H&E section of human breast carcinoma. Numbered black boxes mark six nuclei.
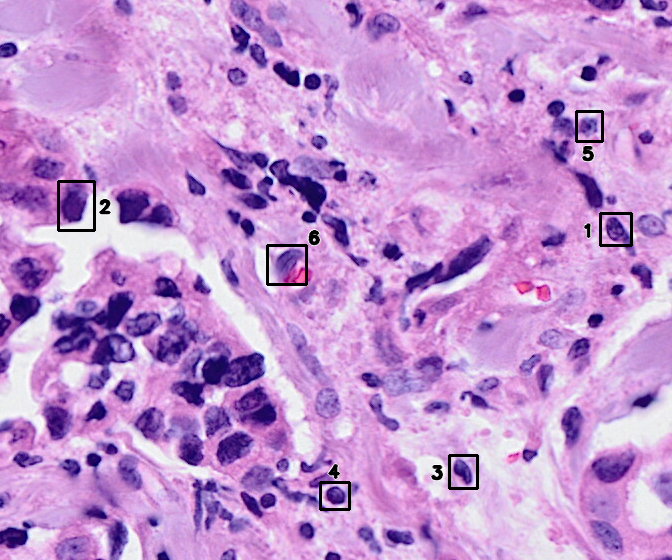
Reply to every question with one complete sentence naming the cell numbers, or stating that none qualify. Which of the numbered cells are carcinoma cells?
Cell 2 alone, of all the numbered cells, is a carcinoma cell.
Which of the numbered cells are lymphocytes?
Each of the cells numbered 1, 3, 4 and 5 is among the lymphocytes.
